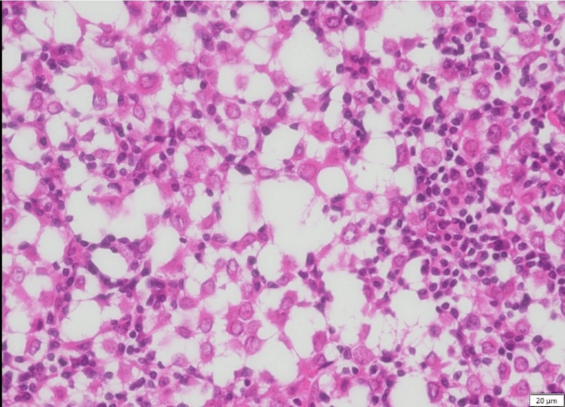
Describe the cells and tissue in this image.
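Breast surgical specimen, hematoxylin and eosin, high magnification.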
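Atypical epithelial cells lie loosely among lymphocytes, with many clear empty spaces between them. The epithelial cells are large, with pink cytoplasm and enlarged round nuclei, some with distinct nucleoli, while the lymphocytes are small with dark round nuclei and scant cytoplasm, clustering most densely on the right.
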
